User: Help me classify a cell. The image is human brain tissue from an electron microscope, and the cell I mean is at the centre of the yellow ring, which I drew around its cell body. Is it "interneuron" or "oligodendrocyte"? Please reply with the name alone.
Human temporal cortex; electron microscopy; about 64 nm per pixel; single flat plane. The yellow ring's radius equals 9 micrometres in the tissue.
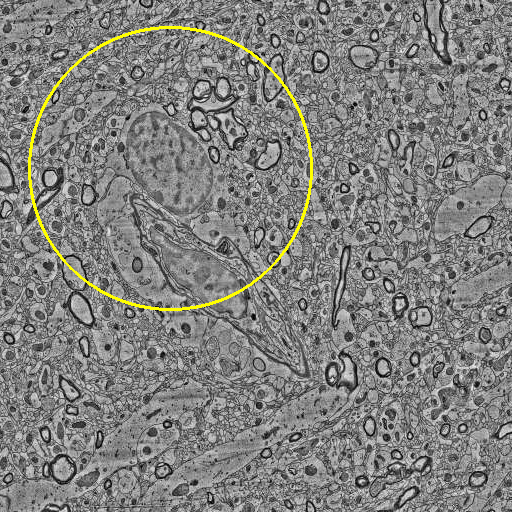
oligodendrocyte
